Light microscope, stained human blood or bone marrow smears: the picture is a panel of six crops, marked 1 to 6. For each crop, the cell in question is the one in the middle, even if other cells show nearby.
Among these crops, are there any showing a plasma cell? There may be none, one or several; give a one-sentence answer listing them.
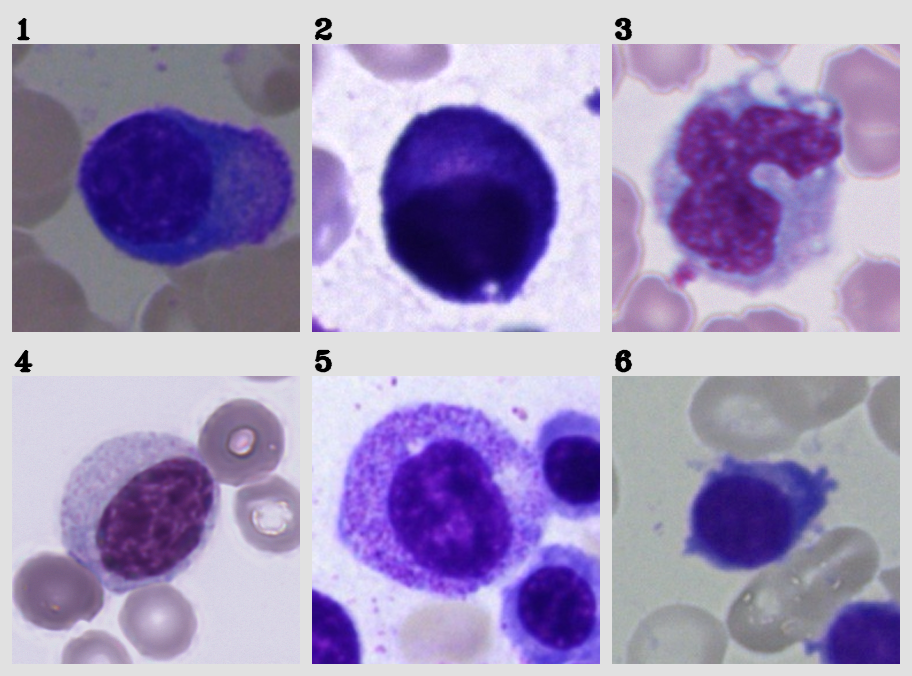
Crops 1, 2 and 6 have plasma cells as the central cells.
